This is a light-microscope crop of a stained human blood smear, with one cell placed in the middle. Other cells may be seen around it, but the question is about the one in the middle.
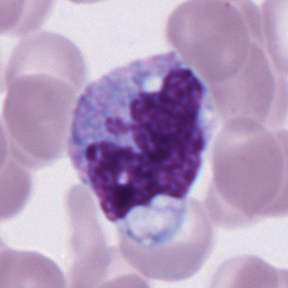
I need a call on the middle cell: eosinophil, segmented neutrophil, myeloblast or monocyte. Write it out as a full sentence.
What sits at the centre of this crop is a monocyte.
